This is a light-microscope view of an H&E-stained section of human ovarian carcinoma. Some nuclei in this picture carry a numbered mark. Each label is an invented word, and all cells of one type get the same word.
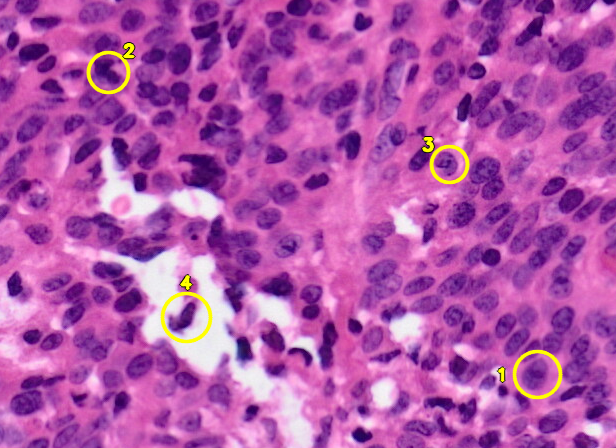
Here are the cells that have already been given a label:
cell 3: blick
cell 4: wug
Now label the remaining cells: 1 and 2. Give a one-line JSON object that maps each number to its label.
{"1": "wug", "2": "wug"}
